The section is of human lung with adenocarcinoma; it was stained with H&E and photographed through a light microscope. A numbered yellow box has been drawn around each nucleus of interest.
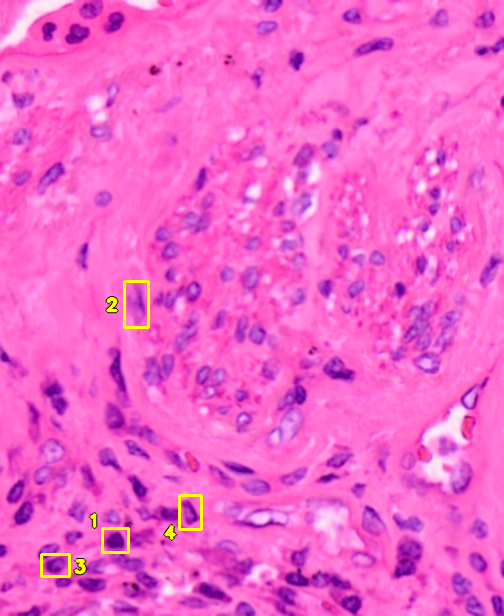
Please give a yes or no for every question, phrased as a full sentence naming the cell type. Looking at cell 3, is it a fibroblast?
No, number 3 is assigned to a plasma cell, not to a fibroblast.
